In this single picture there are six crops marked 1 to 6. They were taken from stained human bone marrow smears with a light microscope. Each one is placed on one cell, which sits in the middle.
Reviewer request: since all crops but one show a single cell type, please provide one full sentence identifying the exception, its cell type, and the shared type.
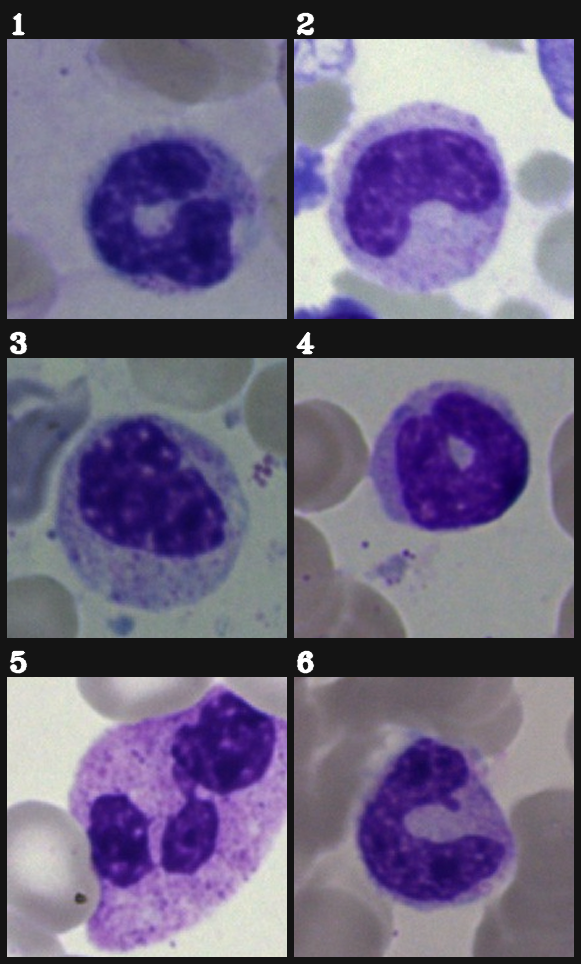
Crop 5 shows a segmented neutrophil; by contrast, all the other crops show band neutrophils.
